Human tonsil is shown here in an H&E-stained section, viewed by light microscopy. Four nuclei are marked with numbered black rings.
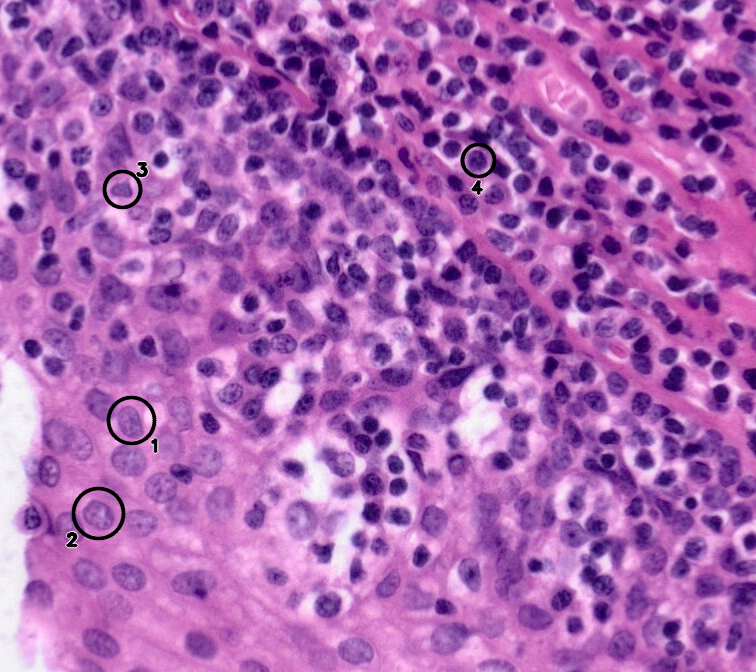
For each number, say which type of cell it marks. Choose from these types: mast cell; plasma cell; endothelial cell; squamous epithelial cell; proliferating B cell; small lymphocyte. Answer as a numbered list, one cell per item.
1. squamous epithelial cell
2. squamous epithelial cell
3. squamous epithelial cell
4. plasma cell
